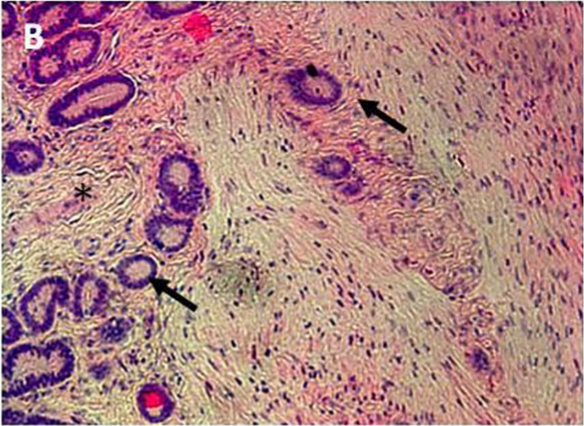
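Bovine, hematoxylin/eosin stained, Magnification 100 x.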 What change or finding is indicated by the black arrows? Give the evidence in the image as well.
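Uterine glands penetrating myometrium. The arrows point to small round gland profiles with a purple epithelial lining.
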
